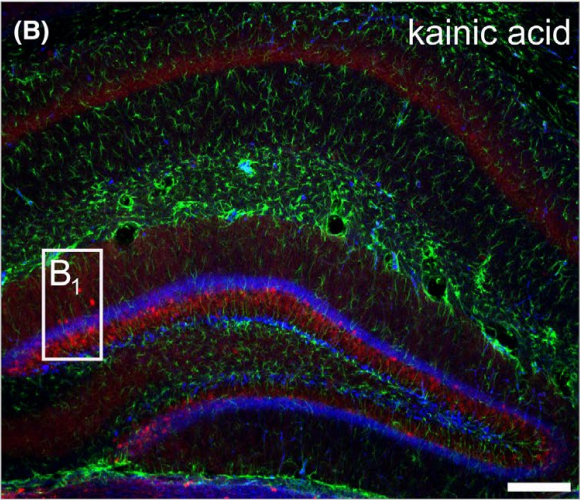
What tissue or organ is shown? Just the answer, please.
Dentate gyrus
